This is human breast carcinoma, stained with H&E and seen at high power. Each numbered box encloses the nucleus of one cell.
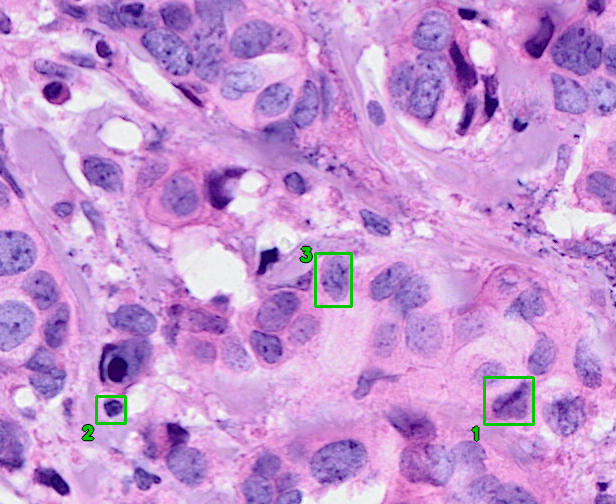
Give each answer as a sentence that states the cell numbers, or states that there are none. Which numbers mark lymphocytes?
Only one choice fits: cell 2 is a lymphocyte, and no other.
